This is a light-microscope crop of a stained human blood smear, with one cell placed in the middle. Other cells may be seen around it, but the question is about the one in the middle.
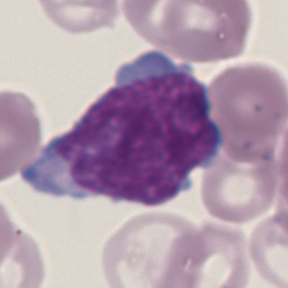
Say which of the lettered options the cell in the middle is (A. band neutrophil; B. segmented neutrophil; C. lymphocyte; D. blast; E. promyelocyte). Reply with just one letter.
D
